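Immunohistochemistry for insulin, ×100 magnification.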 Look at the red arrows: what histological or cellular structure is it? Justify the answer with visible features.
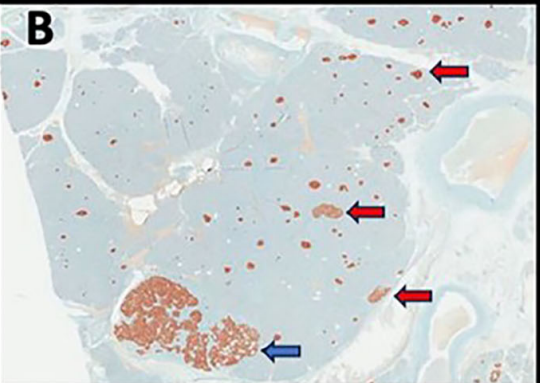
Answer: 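Small brown-stained foci are scattered throughout the pale blue-gray lobules. The foci vary in size and are far smaller than the large brown nodule. So: clusters of neuroendocrine cells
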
